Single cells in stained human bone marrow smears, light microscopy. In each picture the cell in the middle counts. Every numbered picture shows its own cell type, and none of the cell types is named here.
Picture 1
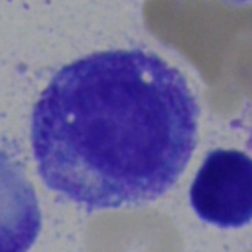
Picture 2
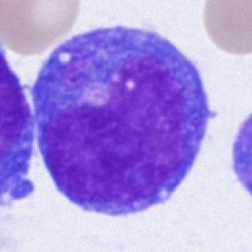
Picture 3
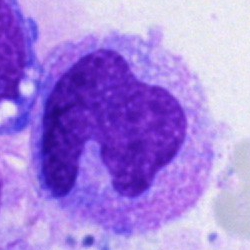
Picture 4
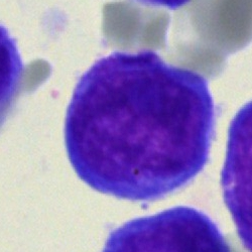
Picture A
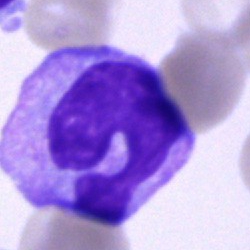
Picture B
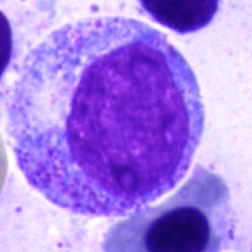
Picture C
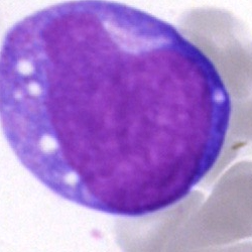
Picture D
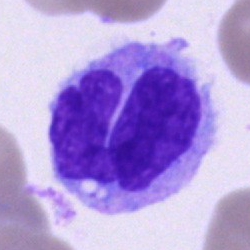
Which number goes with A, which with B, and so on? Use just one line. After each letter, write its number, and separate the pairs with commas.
A 3, B 2, C 4, D 3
